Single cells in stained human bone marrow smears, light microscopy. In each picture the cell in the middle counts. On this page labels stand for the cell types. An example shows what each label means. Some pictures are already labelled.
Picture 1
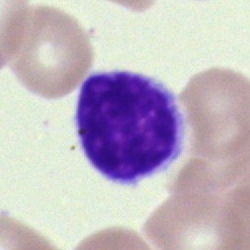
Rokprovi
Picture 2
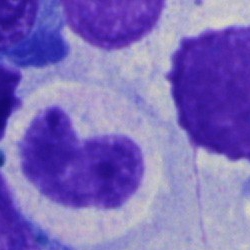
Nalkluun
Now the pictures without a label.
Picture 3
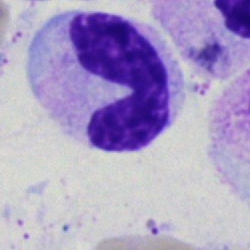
Nalkluun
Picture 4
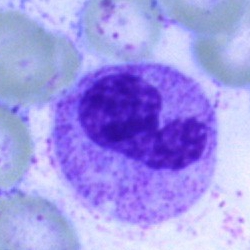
Nalkluun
